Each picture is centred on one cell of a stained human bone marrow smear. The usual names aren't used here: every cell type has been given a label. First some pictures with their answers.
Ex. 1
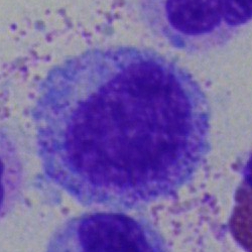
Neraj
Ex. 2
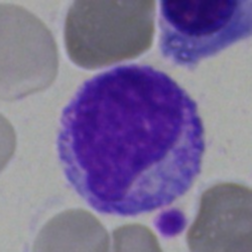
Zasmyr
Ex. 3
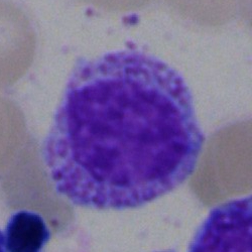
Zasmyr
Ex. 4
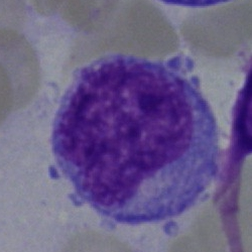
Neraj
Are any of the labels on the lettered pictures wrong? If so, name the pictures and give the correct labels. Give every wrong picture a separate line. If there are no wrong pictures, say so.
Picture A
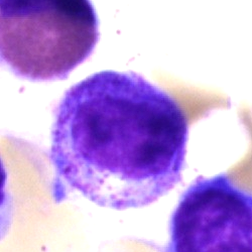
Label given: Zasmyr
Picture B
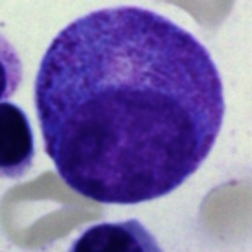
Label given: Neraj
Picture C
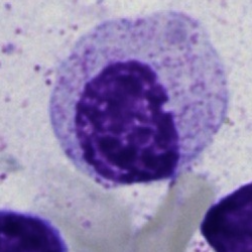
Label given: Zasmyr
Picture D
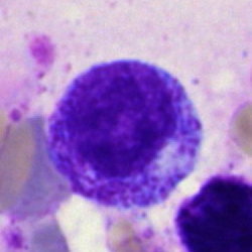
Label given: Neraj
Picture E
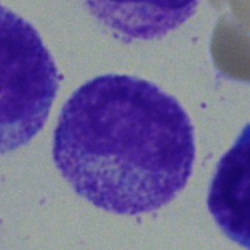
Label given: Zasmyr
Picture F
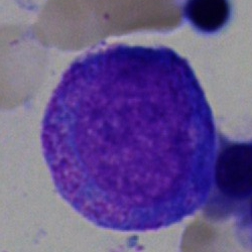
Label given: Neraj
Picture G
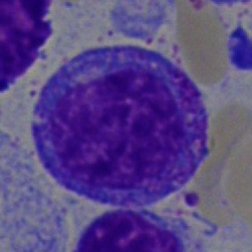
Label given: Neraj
D: change Neraj to Zasmyr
